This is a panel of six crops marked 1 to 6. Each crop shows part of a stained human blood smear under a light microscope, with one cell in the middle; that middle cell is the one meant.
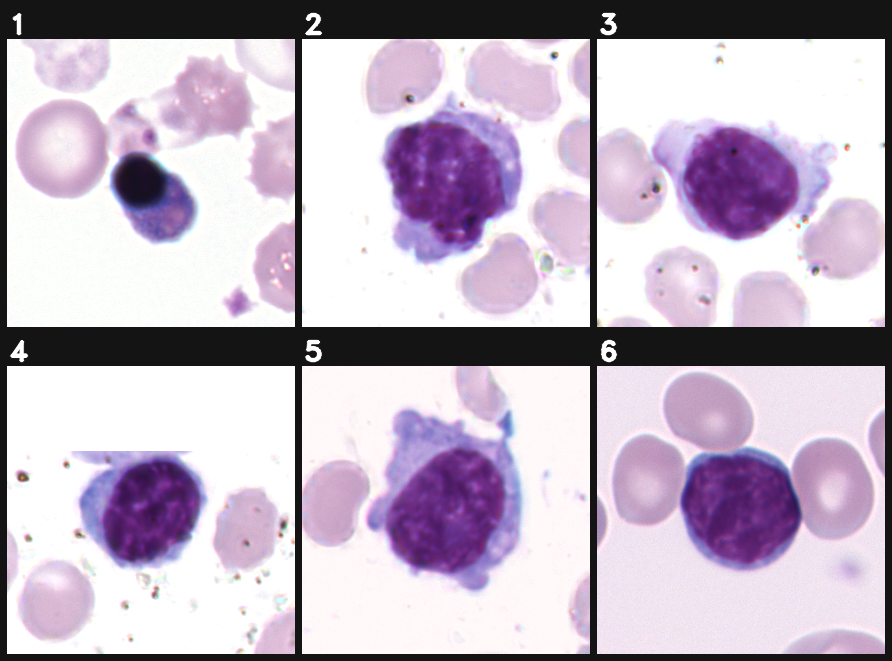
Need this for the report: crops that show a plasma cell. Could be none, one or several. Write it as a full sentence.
The centrally placed cells in crops 2, 3, 4 and 5 are plasma cells.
